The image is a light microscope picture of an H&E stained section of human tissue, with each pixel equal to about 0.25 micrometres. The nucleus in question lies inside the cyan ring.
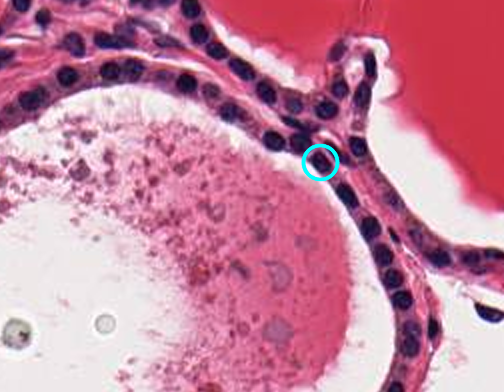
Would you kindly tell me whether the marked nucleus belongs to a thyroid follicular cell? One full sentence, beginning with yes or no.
Yes, the marked nucleus is a part of a thyroid follicular cell.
